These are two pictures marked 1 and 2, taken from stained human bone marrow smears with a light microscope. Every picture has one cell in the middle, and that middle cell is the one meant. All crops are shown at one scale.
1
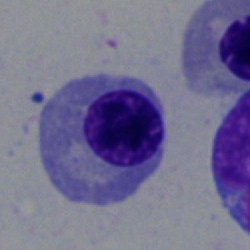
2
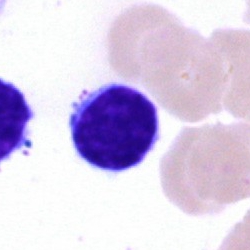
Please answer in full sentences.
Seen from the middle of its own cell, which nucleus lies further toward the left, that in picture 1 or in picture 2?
In picture 2 the nucleus is shifted more toward the left.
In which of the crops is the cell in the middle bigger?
Larger is the cell in picture 1, at roughly 2 times the area of the other.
